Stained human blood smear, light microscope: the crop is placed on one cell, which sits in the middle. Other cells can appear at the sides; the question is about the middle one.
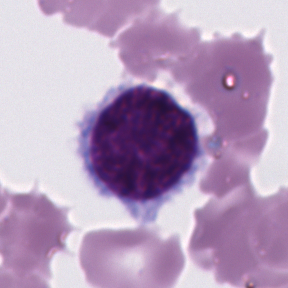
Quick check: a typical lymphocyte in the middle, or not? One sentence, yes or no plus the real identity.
No, the cell in the middle should be called a hairy cell instead of a typical lymphocyte.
